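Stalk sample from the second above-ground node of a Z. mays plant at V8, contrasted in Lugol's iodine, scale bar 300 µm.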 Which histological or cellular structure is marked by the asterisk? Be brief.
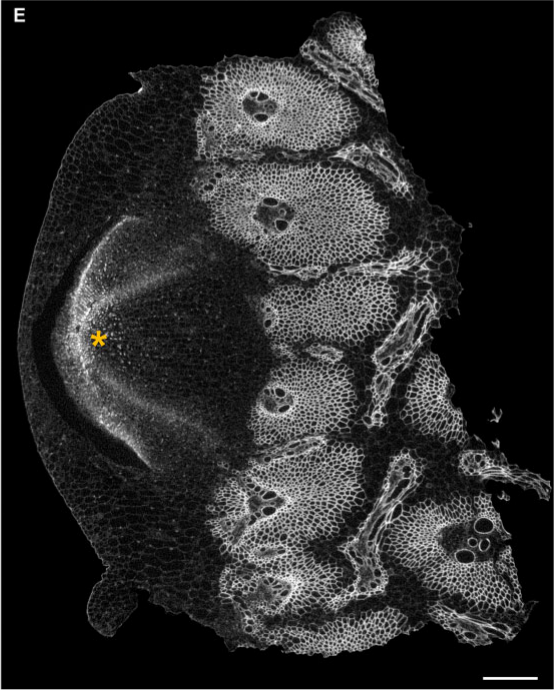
brace root primordium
